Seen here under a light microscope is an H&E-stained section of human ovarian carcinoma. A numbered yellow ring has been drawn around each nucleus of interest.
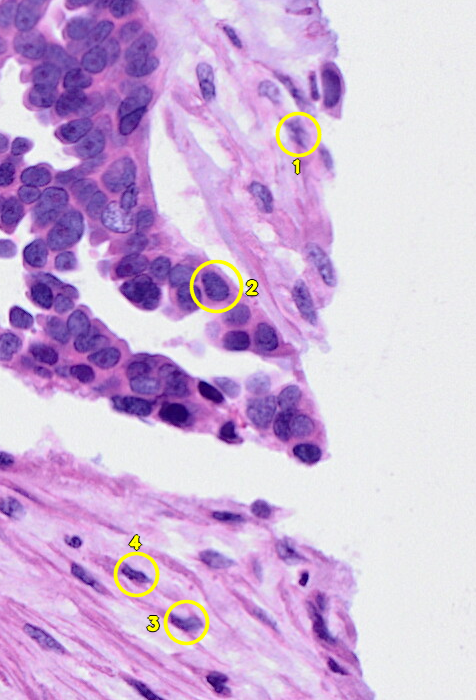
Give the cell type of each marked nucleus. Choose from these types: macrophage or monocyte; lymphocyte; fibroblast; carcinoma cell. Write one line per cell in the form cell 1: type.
cell 1: fibroblast
cell 2: carcinoma cell
cell 3: fibroblast
cell 4: fibroblast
